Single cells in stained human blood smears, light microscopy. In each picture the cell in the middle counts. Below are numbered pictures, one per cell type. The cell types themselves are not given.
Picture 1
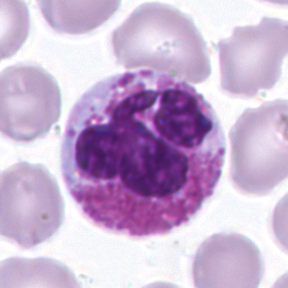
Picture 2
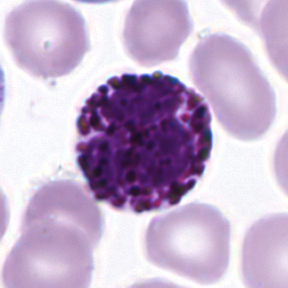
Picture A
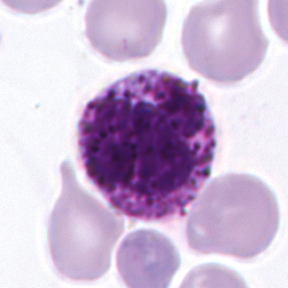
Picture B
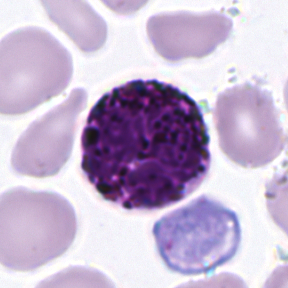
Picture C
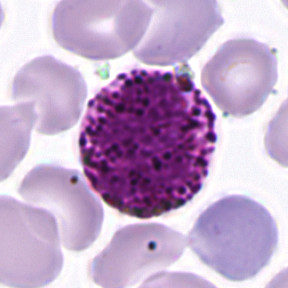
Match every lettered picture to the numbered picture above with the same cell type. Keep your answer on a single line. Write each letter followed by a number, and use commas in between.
A 2, B 2, C 2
